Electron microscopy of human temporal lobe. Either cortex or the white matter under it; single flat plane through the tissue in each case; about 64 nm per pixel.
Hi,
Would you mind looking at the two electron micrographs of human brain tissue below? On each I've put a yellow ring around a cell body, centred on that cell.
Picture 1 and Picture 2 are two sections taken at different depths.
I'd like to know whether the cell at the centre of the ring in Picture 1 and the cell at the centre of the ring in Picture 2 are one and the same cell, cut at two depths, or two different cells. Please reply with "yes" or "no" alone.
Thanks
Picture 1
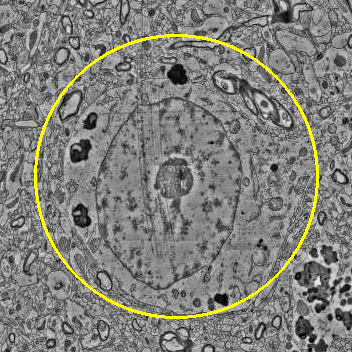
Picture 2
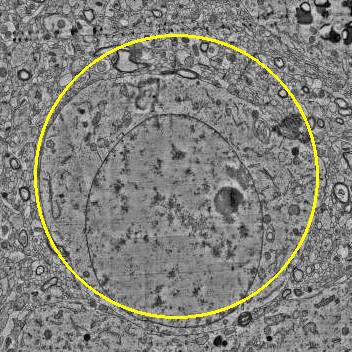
no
